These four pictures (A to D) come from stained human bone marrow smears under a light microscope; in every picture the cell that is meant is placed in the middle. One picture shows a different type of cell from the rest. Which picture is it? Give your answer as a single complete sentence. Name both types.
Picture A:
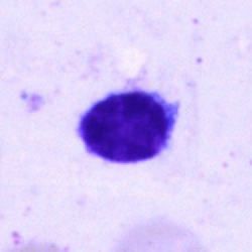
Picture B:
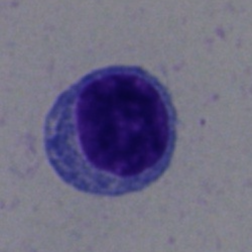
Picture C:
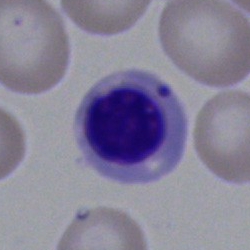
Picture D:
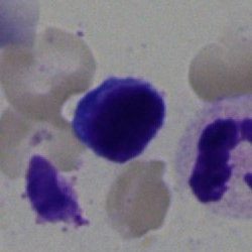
Unlike the rest, which show lymphocytes, picture C shows an erythroblast.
